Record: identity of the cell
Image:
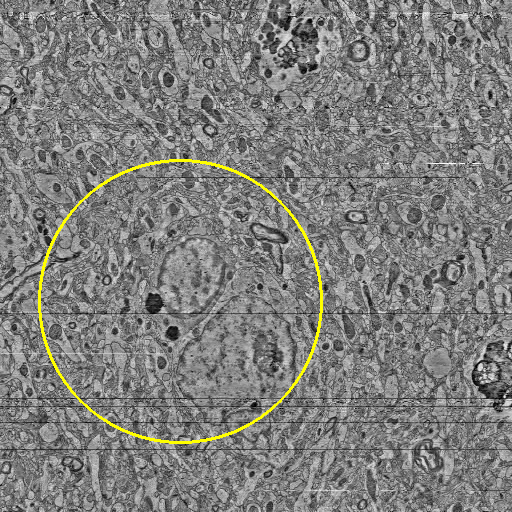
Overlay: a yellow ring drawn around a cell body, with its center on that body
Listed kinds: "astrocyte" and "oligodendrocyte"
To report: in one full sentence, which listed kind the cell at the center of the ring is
In the image, the cell body at the ring's center belongs to an oligodendrocyte.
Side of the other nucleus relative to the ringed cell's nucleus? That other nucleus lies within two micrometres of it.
That other nucleus lies to the lower right of it.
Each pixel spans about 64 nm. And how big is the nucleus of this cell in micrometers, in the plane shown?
About 6 by 4 micrometres in this plane.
